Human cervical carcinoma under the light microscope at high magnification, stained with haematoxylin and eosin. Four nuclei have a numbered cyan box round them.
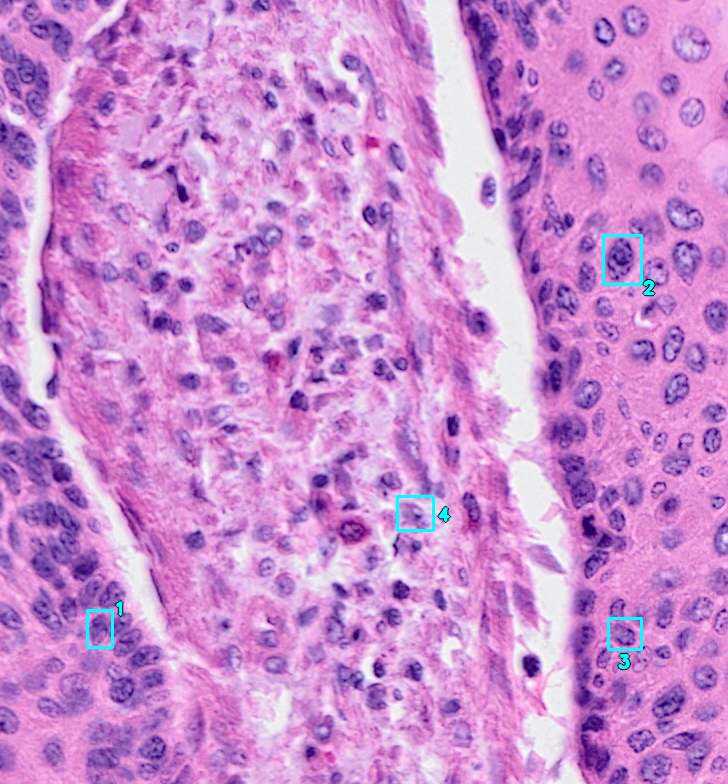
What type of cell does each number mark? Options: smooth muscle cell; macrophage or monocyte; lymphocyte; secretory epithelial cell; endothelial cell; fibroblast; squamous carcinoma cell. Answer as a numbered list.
1. squamous carcinoma cell
2. squamous carcinoma cell
3. squamous carcinoma cell
4. fibroblast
